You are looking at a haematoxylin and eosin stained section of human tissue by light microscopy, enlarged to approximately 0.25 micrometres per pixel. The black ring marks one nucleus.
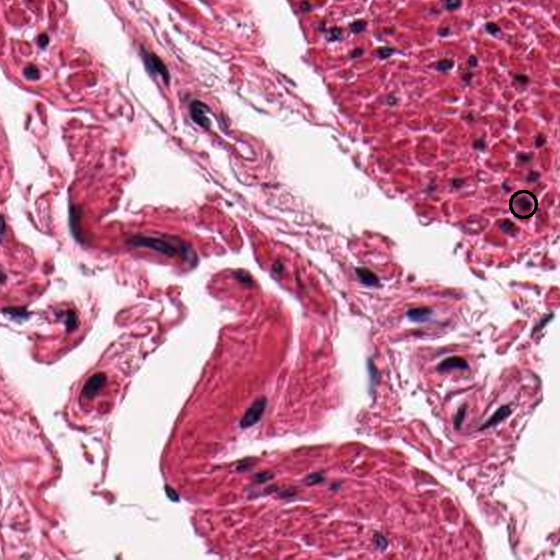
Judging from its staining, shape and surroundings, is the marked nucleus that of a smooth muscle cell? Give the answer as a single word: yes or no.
yes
